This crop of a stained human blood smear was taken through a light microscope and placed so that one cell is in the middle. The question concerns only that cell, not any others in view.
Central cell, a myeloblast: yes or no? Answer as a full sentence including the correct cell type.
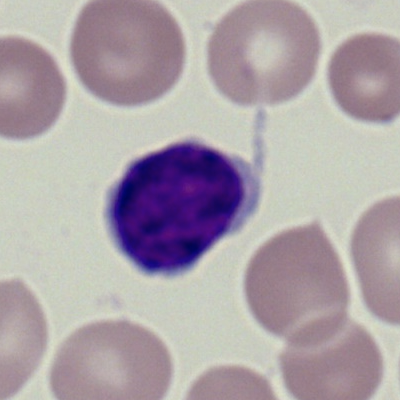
No, the correct answer for the middle cell is a lymphocyte, not a myeloblast.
